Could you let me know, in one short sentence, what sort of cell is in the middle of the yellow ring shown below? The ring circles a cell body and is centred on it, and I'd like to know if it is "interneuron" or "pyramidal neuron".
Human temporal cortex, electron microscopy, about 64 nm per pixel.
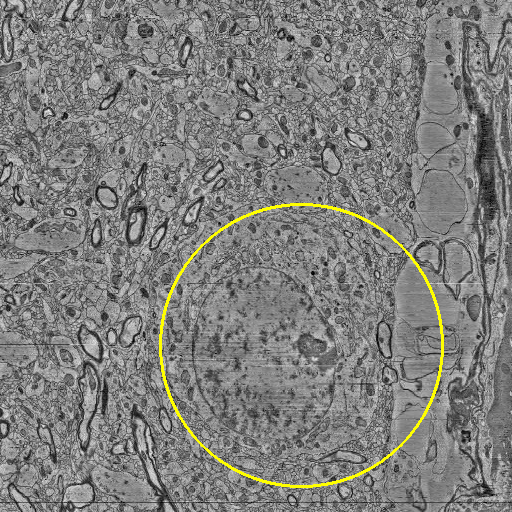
The ring circles the cell body of an interneuron.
